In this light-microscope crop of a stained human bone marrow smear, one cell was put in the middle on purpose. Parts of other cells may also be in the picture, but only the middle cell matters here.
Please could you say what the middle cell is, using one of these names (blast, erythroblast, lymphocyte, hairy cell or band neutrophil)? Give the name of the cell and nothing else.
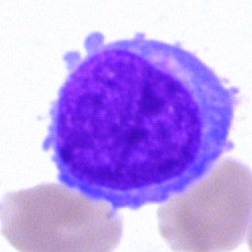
blast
